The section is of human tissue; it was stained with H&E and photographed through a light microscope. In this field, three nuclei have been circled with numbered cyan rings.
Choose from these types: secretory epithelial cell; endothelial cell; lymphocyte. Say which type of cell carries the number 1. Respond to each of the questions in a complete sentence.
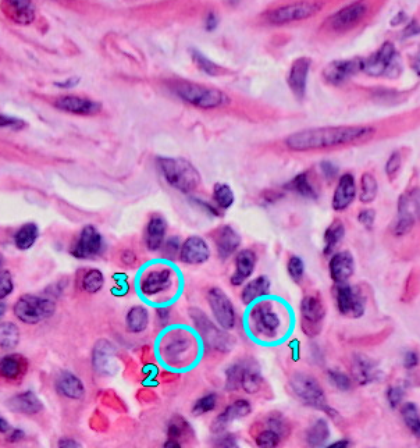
The cell that bears the number 1 is a lymphocyte.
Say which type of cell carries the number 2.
The nucleus labelled 2 belongs to an endothelial cell.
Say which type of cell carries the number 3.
Numbered cell 3 is a lymphocyte in this tissue section.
